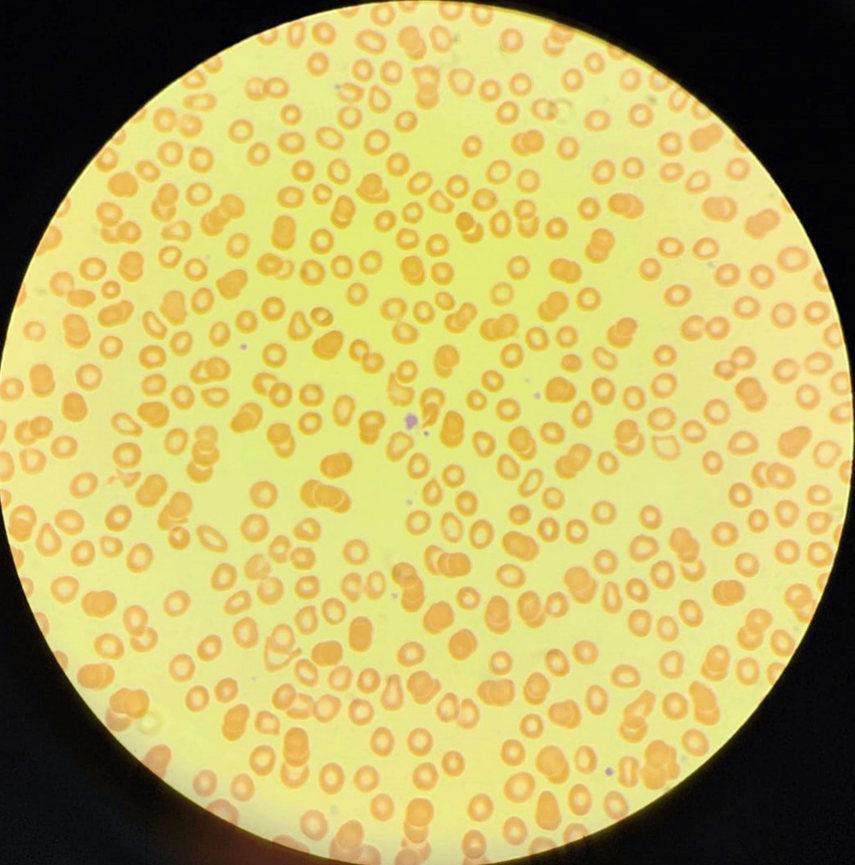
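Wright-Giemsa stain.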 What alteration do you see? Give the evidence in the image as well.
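The red cells vary in size from cell to cell. Some red cells are oval, elongated or teardrop-shaped rather than round. That points to this answer: anisopoikilocytosis.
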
